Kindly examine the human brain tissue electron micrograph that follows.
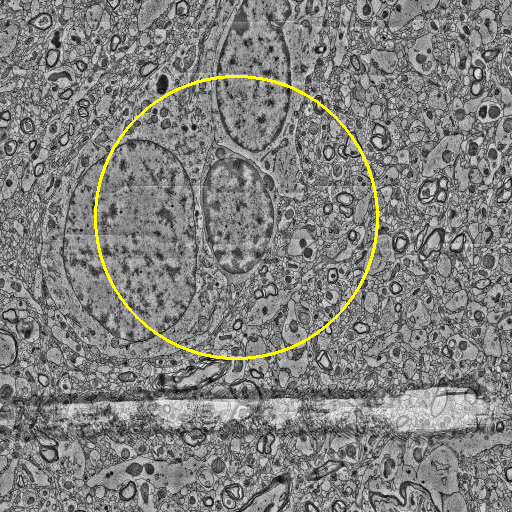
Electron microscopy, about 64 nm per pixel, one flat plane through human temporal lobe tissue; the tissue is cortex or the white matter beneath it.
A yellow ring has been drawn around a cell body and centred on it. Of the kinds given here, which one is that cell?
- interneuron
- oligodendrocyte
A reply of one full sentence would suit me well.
The micrograph's ringed cell, the one at the ring's centre, is an oligodendrocyte.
